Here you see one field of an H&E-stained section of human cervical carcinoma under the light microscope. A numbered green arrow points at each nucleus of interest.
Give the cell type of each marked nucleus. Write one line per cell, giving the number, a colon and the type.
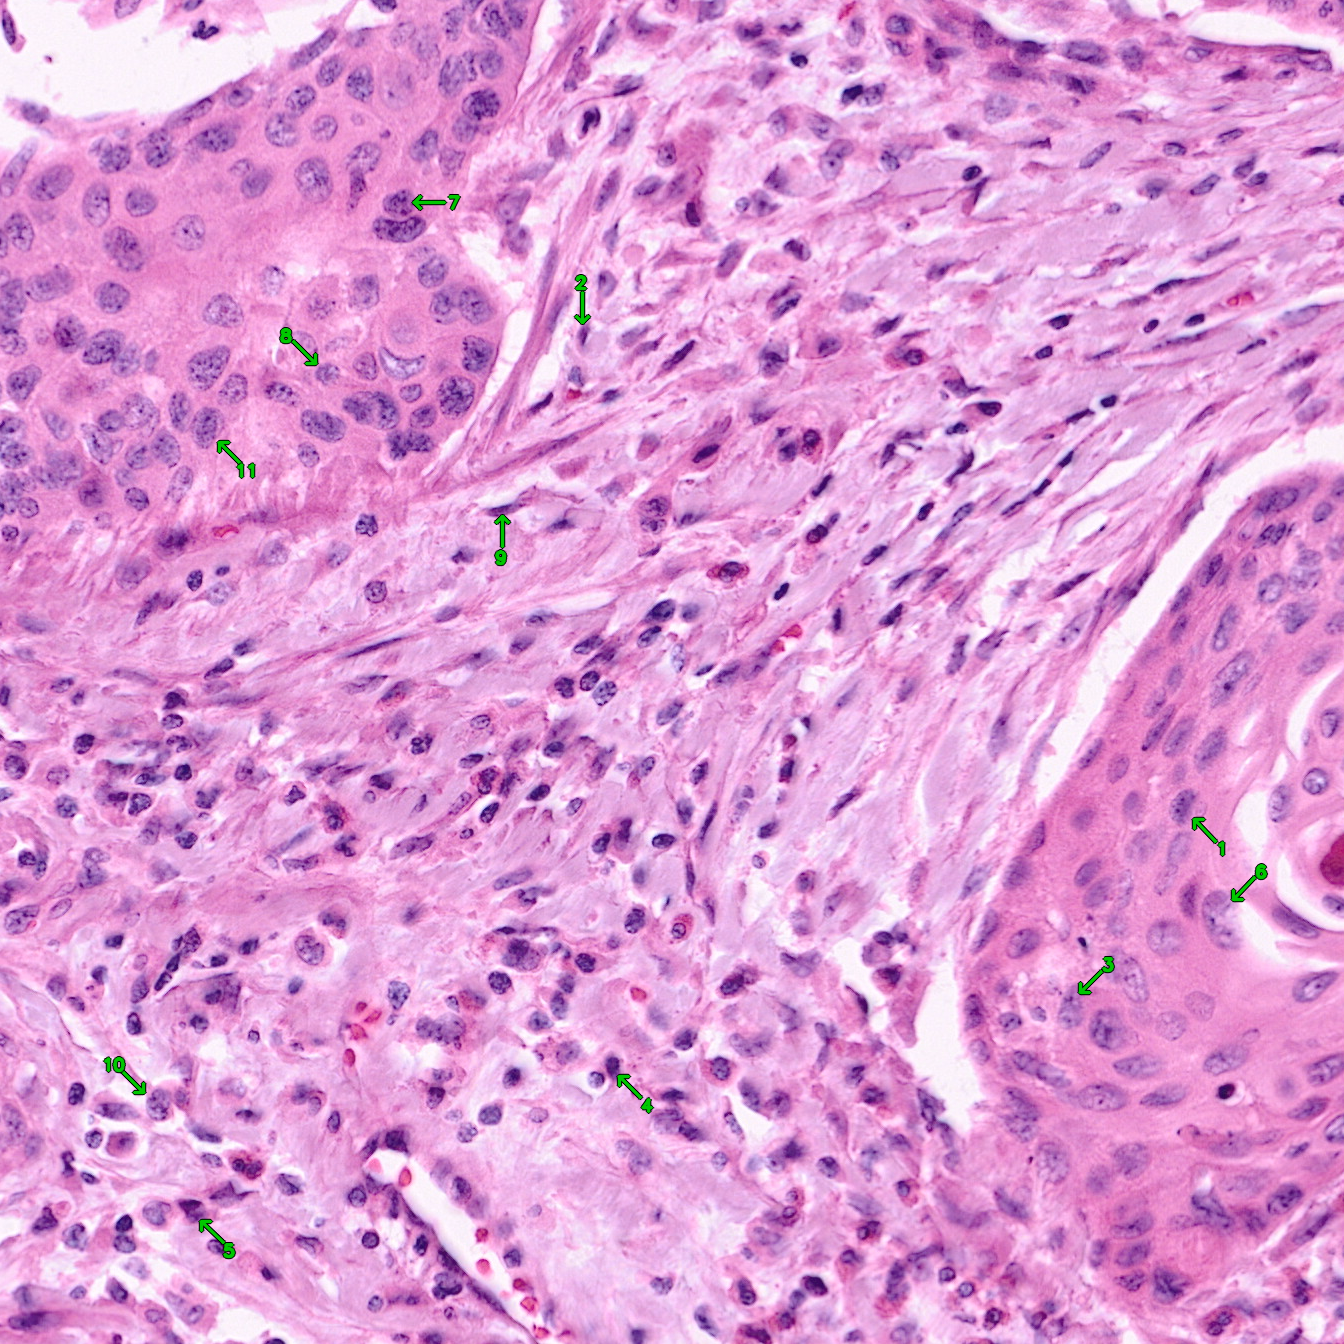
1: squamous carcinoma cell
2: fibroblast
3: squamous carcinoma cell
4: lymphocyte
5: macrophage or monocyte
6: squamous carcinoma cell
7: squamous carcinoma cell
8: squamous carcinoma cell
9: fibroblast
10: macrophage or monocyte
11: squamous carcinoma cell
